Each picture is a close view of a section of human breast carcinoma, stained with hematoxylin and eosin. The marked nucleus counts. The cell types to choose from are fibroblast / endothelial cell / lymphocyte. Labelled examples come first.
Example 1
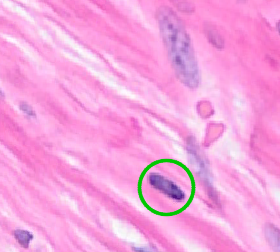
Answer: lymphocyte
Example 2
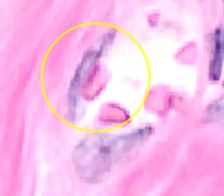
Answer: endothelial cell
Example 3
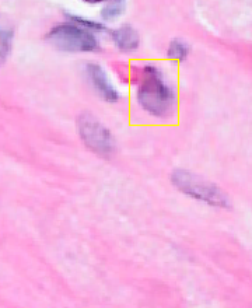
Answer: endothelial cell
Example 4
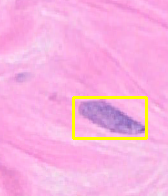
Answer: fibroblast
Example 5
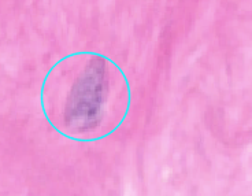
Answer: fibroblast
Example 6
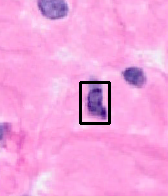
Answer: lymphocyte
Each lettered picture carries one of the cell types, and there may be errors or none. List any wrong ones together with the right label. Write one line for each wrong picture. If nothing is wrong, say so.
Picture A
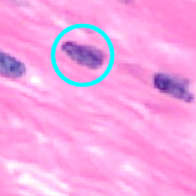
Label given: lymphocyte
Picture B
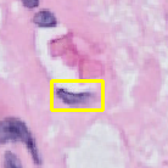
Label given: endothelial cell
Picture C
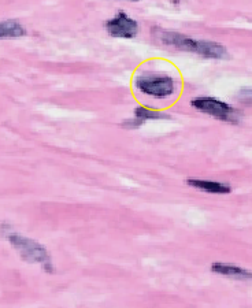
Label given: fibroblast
Wrong: C (fibroblast); correct: lymphocyte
